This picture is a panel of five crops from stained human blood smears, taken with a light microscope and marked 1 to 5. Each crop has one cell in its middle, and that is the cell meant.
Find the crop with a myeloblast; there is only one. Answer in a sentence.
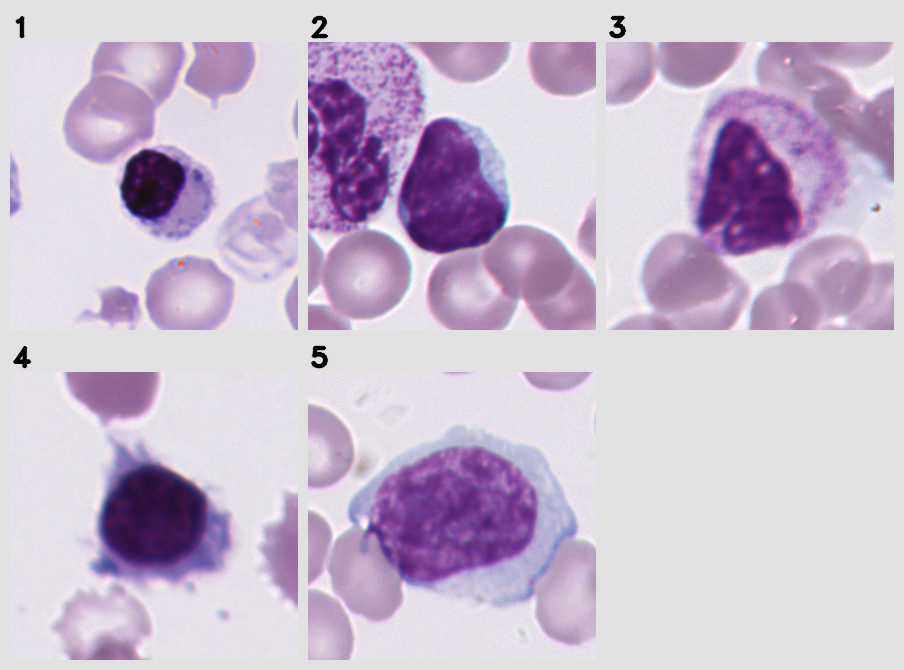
Crop 5 is the correct crop, and it shows a myeloblast.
